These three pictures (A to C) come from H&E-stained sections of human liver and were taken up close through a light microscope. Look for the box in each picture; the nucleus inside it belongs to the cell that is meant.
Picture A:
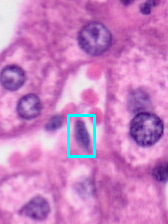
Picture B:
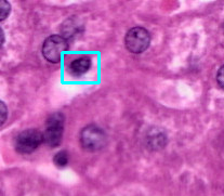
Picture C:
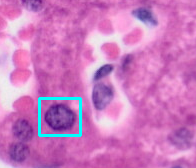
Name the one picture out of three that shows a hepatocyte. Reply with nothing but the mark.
C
